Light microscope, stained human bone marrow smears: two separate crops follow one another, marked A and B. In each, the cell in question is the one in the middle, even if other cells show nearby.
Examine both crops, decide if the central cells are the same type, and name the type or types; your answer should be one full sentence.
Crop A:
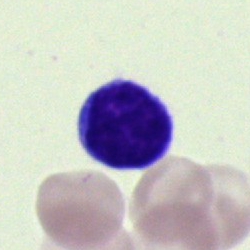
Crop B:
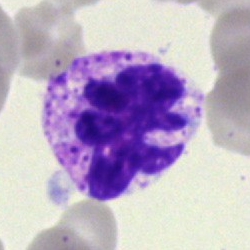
No, crop A features a lymphocyte, and crop B features a basophil.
